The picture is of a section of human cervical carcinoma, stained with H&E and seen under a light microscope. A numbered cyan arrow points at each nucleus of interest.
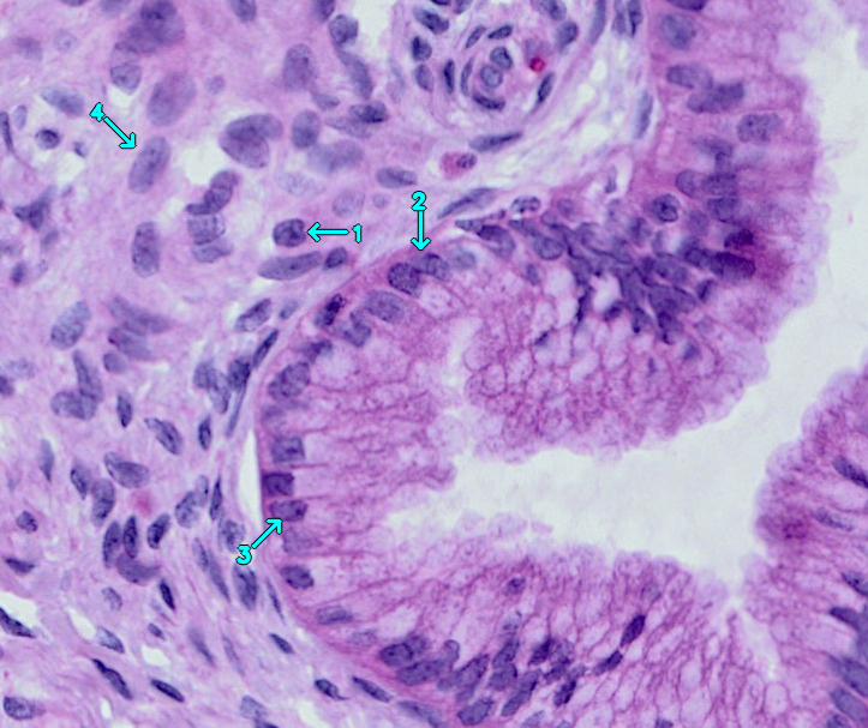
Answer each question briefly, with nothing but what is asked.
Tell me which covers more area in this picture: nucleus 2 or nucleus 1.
2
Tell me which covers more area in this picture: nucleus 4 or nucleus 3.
4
